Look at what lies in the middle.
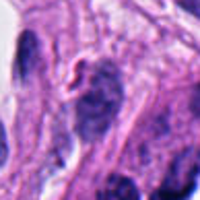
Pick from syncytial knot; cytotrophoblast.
cytotrophoblast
